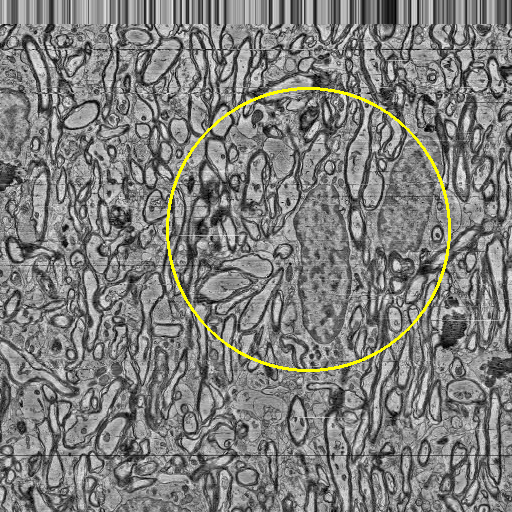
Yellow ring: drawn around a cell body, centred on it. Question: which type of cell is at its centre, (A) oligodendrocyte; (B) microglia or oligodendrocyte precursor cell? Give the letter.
B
